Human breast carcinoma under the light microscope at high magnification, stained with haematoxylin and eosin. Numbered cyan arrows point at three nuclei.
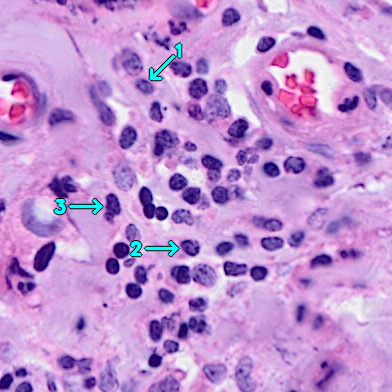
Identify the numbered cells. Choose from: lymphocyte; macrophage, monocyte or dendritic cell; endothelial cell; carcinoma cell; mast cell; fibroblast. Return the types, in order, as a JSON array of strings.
["mast cell", "lymphocyte", "lymphocyte"]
